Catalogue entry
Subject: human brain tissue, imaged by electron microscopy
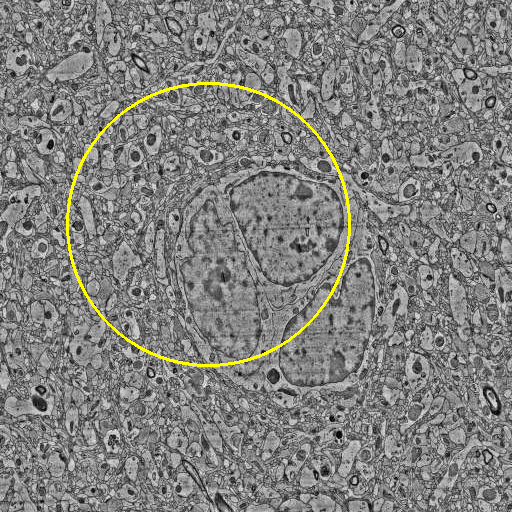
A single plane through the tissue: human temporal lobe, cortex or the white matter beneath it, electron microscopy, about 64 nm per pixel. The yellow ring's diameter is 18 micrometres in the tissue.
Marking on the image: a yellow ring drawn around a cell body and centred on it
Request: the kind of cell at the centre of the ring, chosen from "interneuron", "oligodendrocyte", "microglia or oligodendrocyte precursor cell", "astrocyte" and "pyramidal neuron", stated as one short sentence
The ring has an interneuron at its centre.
